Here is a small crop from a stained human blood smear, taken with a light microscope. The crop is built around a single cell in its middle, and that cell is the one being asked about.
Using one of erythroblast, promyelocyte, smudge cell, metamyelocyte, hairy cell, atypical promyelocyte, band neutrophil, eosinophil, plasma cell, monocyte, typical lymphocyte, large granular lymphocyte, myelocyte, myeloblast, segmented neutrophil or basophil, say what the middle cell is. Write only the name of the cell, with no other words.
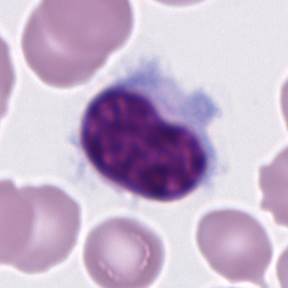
hairy cell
